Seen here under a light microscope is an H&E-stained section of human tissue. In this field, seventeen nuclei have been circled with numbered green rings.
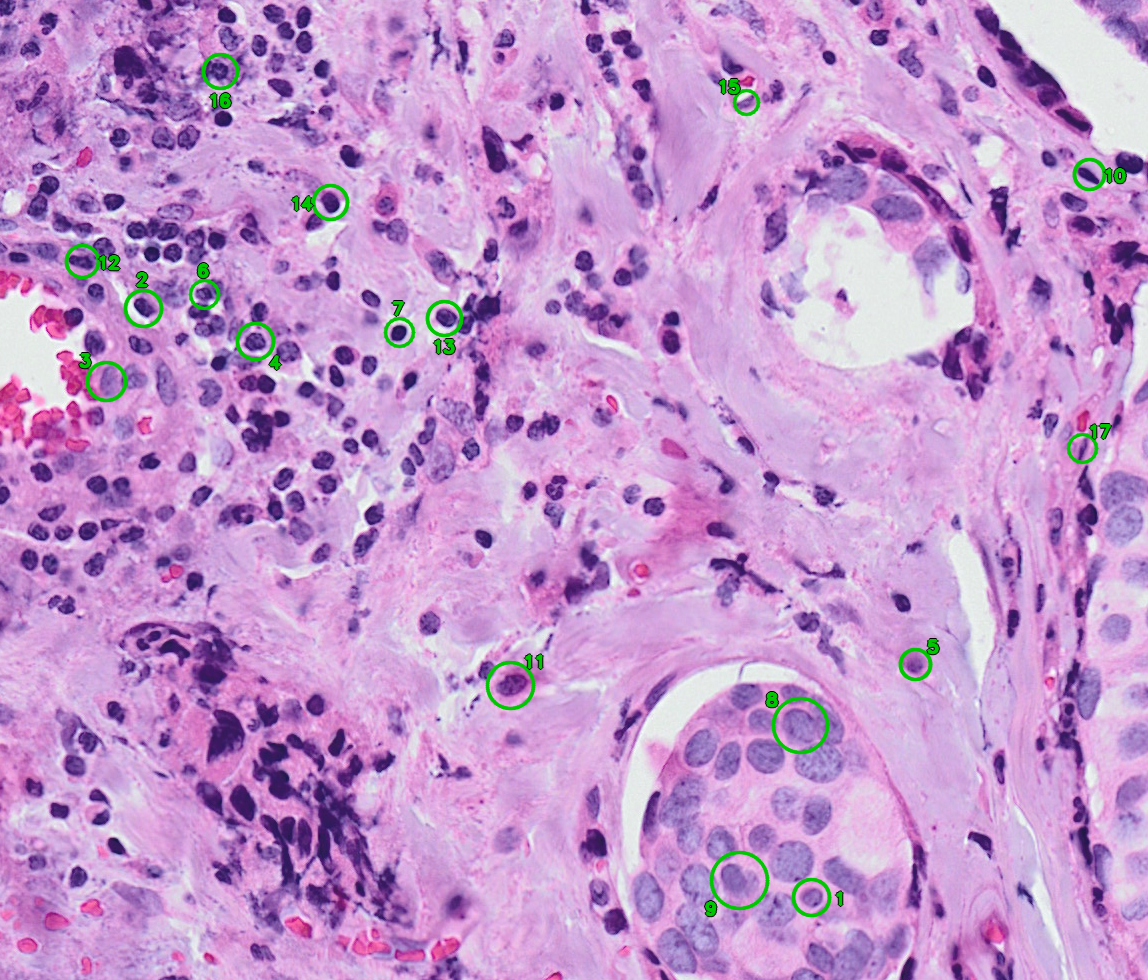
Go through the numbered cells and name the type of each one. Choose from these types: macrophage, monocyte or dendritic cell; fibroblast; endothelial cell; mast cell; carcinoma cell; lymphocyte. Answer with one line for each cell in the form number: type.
1: carcinoma cell
2: lymphocyte
3: endothelial cell
4: lymphocyte
5: mast cell
6: lymphocyte
7: lymphocyte
8: carcinoma cell
9: carcinoma cell
10: lymphocyte
11: mast cell
12: lymphocyte
13: lymphocyte
14: lymphocyte
15: endothelial cell
16: lymphocyte
17: endothelial cell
